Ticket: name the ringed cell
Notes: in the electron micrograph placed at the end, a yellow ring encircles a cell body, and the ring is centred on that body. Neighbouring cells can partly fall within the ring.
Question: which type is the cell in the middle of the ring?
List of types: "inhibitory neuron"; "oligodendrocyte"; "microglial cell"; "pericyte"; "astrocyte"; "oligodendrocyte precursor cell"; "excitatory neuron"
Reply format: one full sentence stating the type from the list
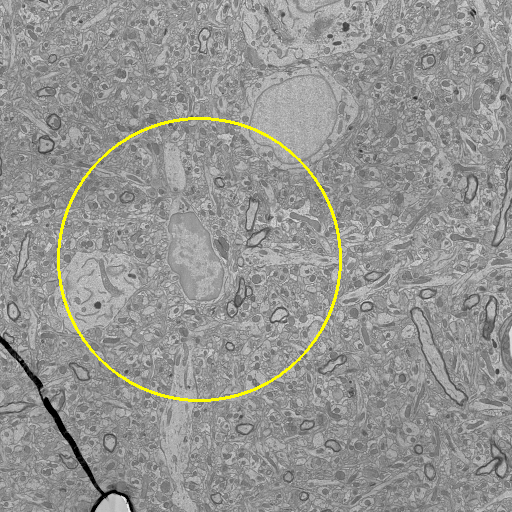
The cell sitting at the centre of the yellow ring is a microglial cell.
